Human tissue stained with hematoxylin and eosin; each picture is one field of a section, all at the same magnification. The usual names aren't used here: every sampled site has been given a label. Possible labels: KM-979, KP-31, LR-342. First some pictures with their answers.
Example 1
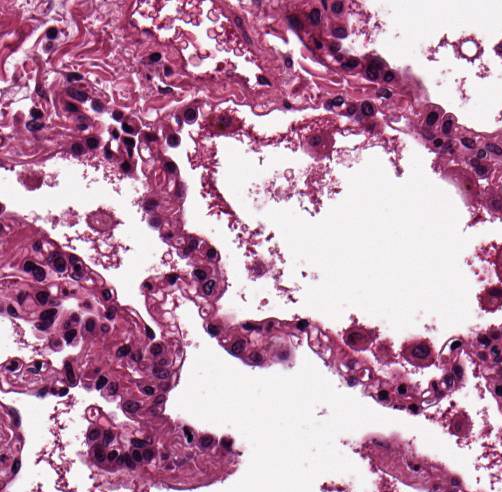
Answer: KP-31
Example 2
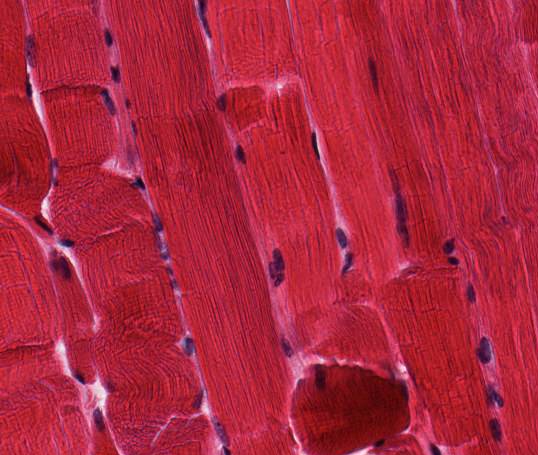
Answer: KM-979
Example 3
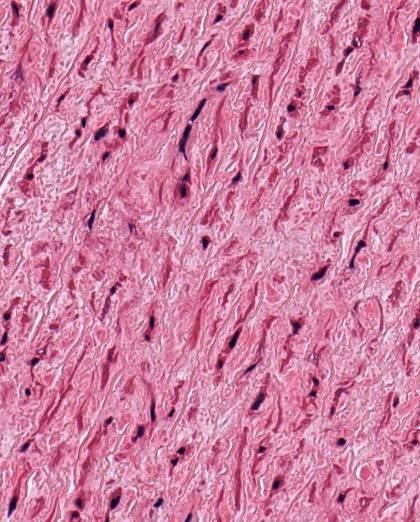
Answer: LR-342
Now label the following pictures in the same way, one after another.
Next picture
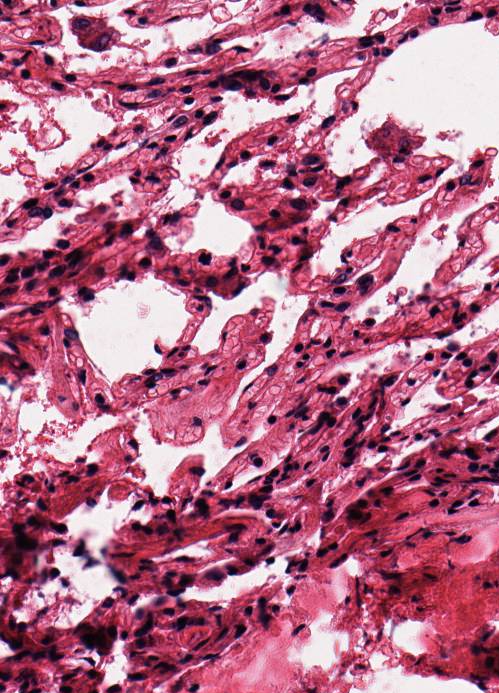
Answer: KP-31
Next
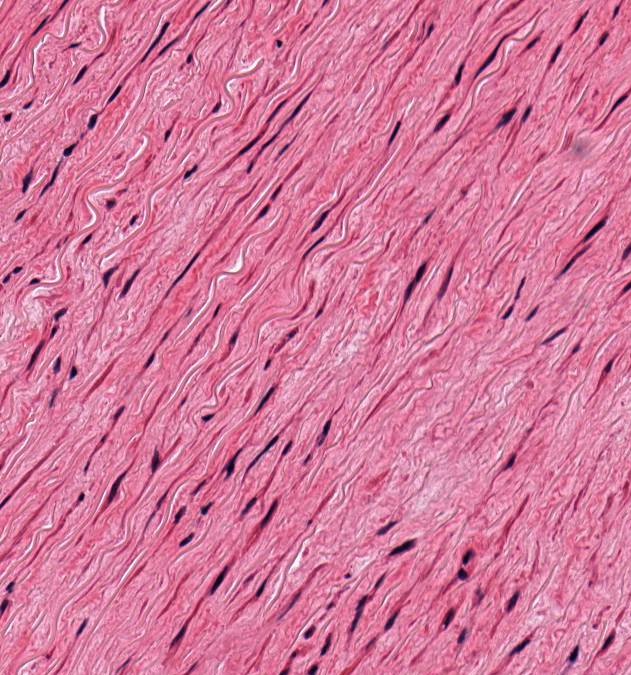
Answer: LR-342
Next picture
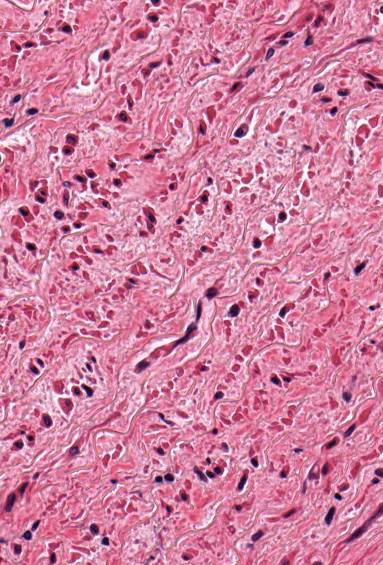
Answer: LR-342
